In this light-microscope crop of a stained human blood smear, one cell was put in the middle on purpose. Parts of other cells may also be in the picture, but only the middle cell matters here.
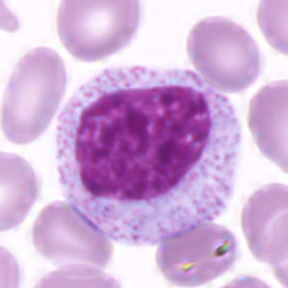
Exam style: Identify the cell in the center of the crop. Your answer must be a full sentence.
At the middle of the frame sits a metamyelocyte.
